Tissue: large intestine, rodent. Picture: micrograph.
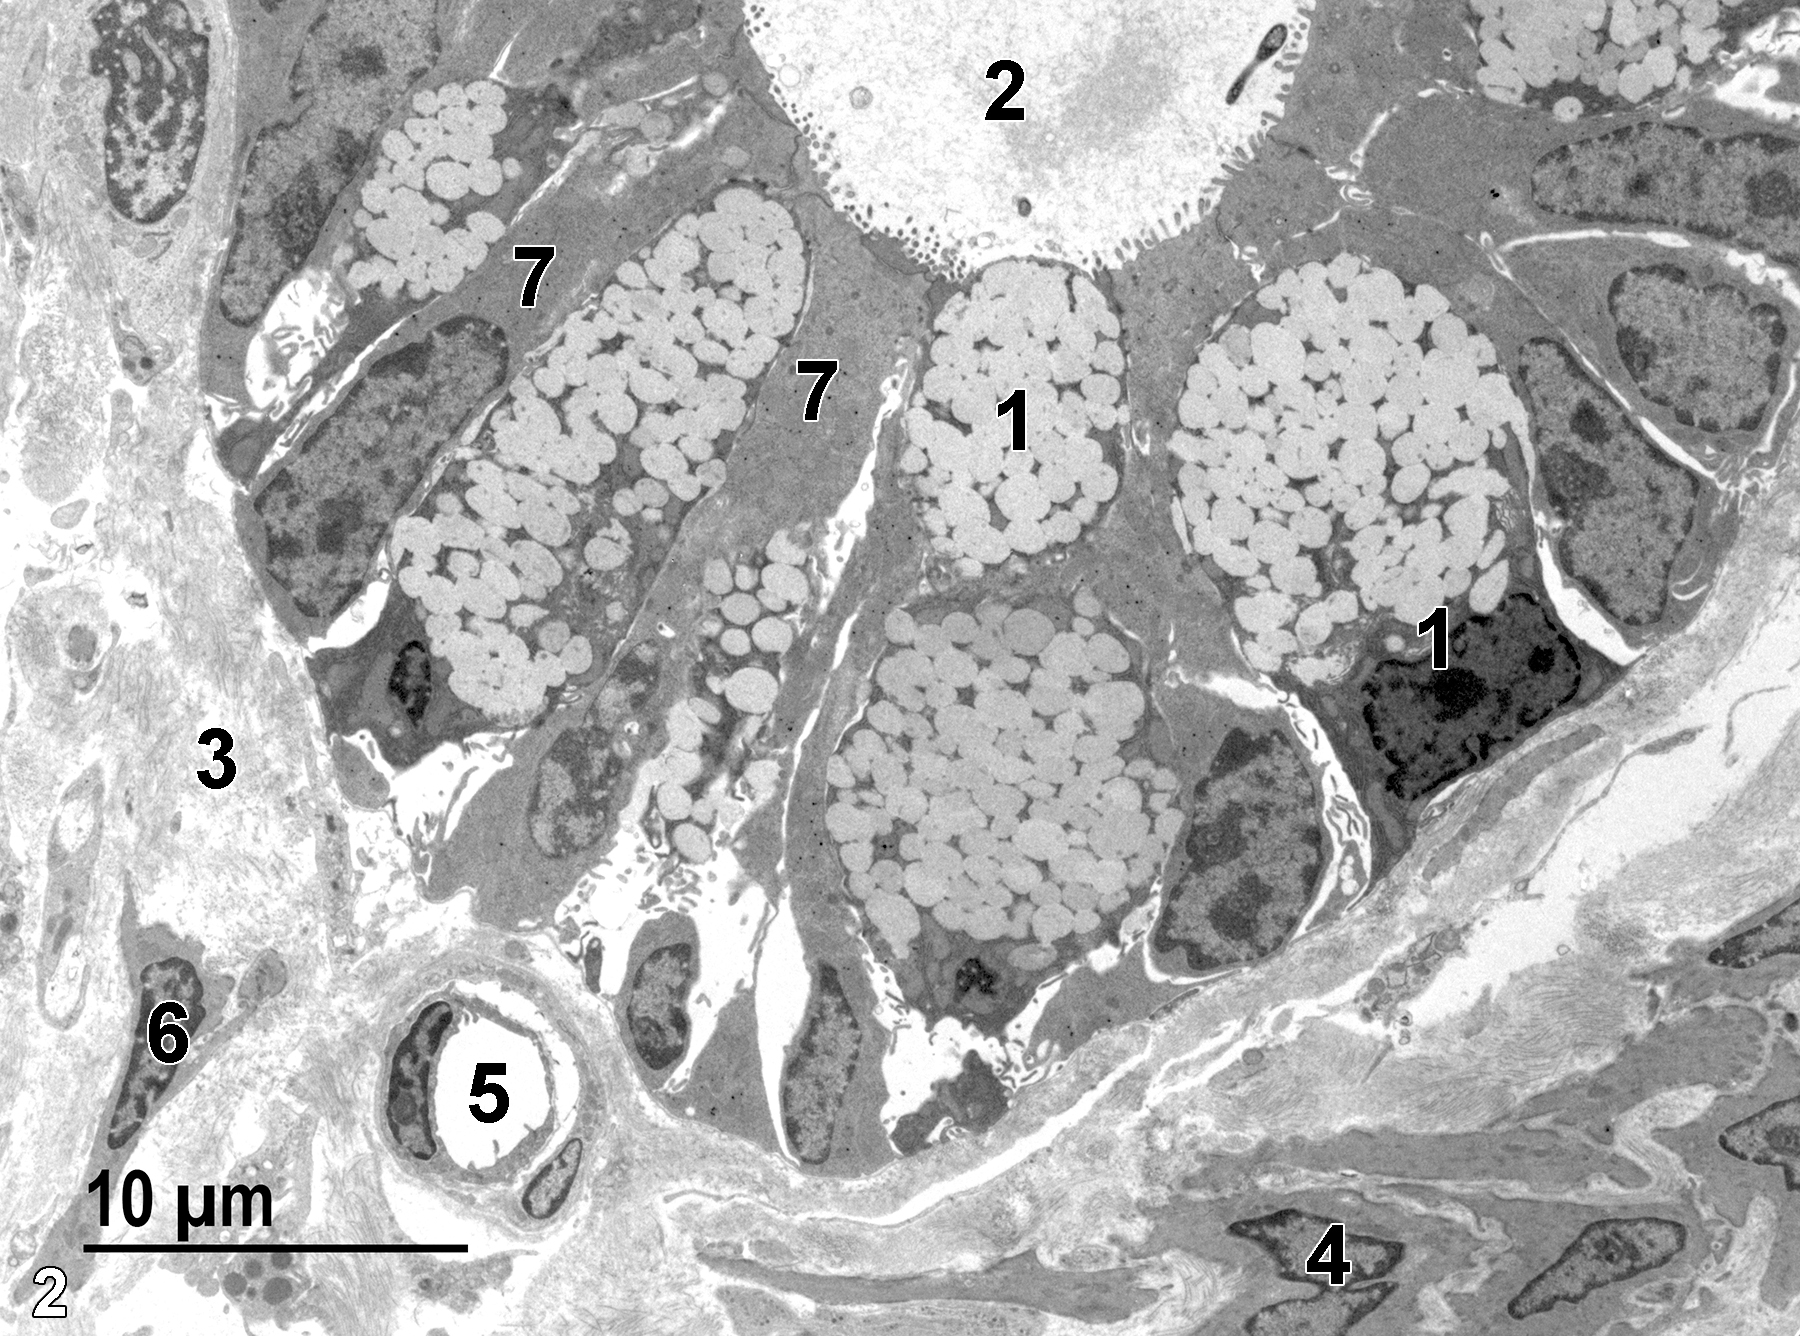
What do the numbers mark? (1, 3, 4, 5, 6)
1 - mucous cells
3 - lamina propria
4 - muscularis mucosae
5 - capillary
6 - fibroblasts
